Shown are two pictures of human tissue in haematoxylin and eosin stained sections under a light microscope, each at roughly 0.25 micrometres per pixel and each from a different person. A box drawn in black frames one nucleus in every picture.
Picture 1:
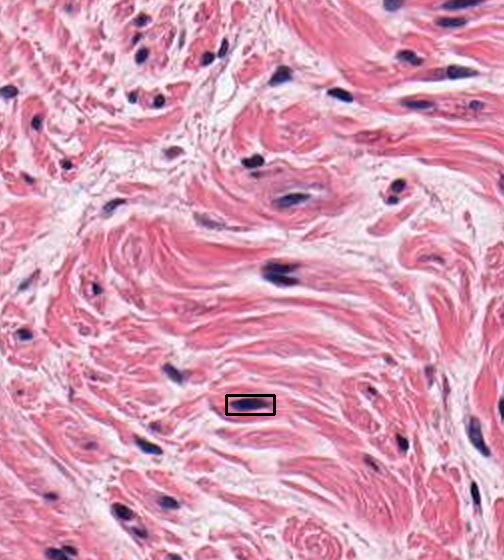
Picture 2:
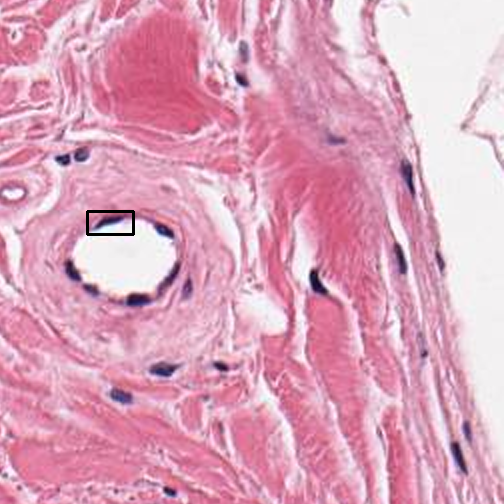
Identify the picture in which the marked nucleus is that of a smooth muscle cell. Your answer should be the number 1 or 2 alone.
1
